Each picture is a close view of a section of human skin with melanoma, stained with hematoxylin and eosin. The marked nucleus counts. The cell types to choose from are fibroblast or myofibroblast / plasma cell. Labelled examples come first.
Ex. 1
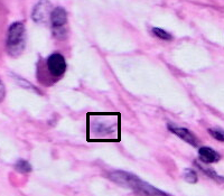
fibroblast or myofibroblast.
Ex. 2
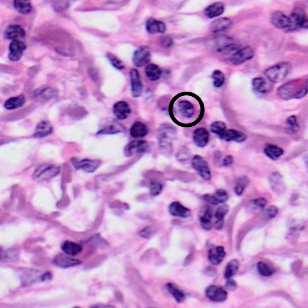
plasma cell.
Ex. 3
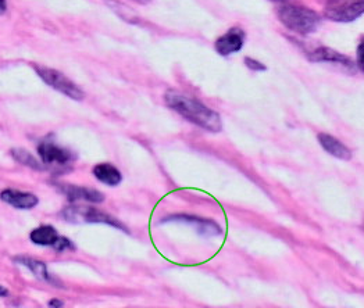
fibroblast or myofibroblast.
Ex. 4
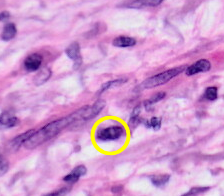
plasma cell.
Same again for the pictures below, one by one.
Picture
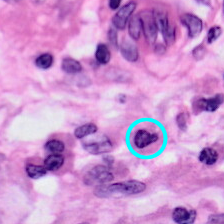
plasma cell.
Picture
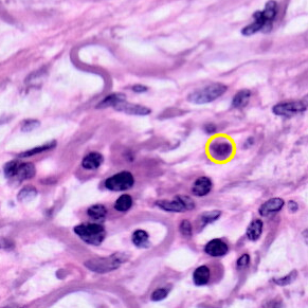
plasma cell.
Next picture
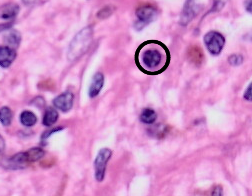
plasma cell.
